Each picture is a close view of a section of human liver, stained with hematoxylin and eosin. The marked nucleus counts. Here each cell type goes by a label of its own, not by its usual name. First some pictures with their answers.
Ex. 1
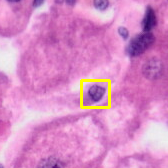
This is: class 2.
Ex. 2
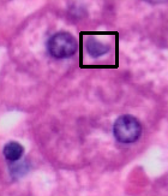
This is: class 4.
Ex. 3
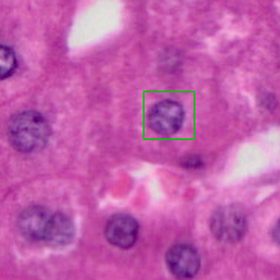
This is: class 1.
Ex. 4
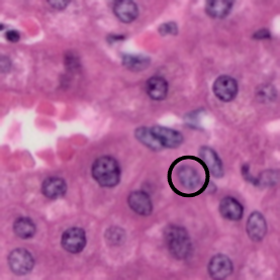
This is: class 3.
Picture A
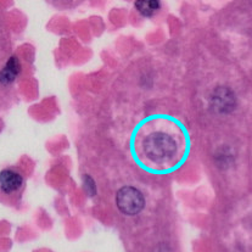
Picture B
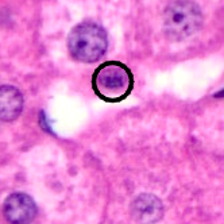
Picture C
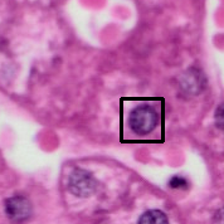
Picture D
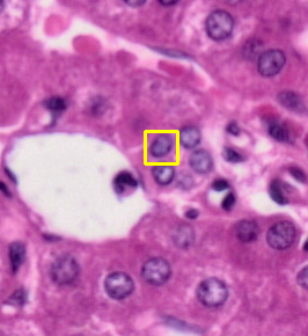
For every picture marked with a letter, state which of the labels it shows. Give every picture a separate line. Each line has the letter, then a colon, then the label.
A: class 1.
B: class 2.
C: class 1.
D: class 3.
